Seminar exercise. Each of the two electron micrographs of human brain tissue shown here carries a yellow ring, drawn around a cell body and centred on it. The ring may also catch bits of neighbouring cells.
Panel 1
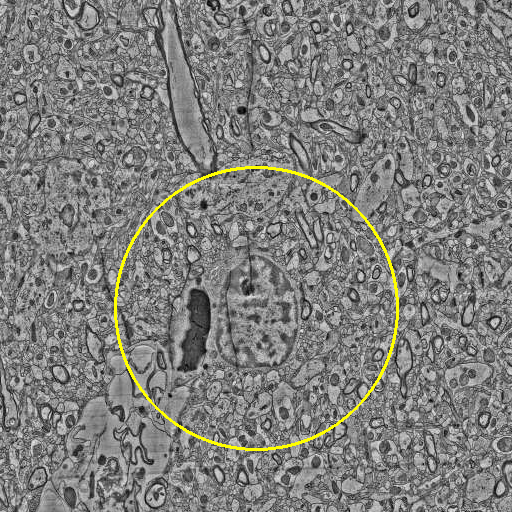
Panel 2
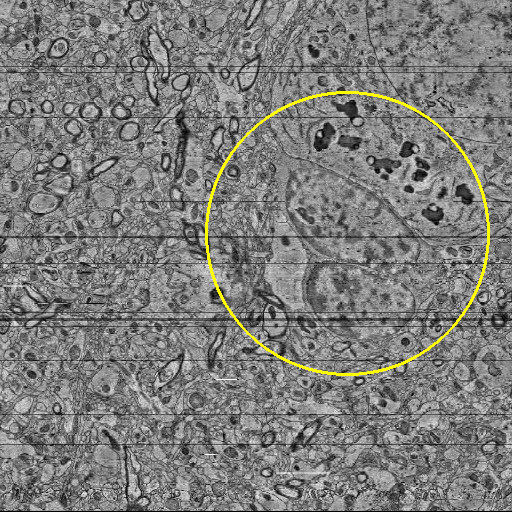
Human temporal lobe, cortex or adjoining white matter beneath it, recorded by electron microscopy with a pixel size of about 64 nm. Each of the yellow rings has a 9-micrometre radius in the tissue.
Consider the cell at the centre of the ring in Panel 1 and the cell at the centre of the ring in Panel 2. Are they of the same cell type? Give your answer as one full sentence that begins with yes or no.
Yes, both cells are of the same type.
